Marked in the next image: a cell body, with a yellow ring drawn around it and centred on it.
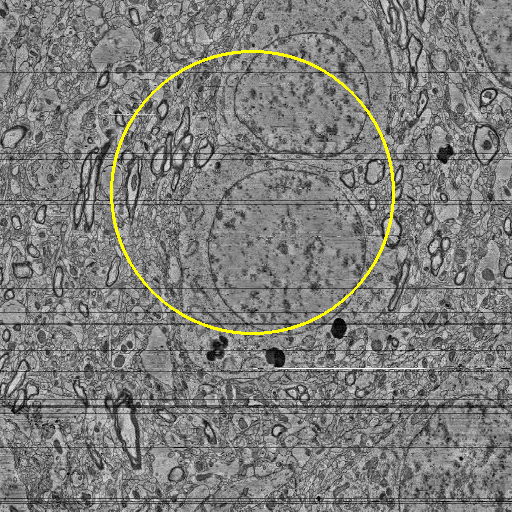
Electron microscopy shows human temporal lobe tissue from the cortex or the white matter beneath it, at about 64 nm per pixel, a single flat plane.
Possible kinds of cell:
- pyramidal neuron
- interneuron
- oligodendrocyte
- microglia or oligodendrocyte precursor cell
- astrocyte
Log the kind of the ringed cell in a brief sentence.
The ringed cell body is that of a pyramidal neuron.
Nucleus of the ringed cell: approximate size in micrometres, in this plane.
Approximately 11 micrometres across in this plane.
